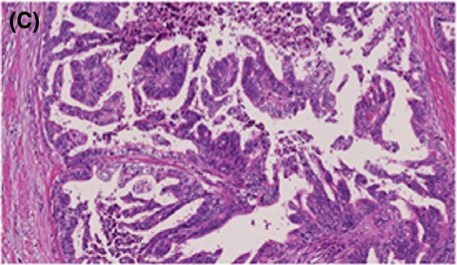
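The glands are lined by tall columnar cells with elongated, dark purple, stratified nuclei and little pink cytoplasm. A band of pink fibrous or muscular tissue runs along the left edge beside the tumor.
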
